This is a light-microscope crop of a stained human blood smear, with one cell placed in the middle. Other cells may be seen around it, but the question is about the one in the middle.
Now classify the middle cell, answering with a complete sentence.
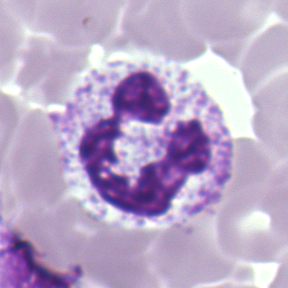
The centered cell in this crop is a neutrophil.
